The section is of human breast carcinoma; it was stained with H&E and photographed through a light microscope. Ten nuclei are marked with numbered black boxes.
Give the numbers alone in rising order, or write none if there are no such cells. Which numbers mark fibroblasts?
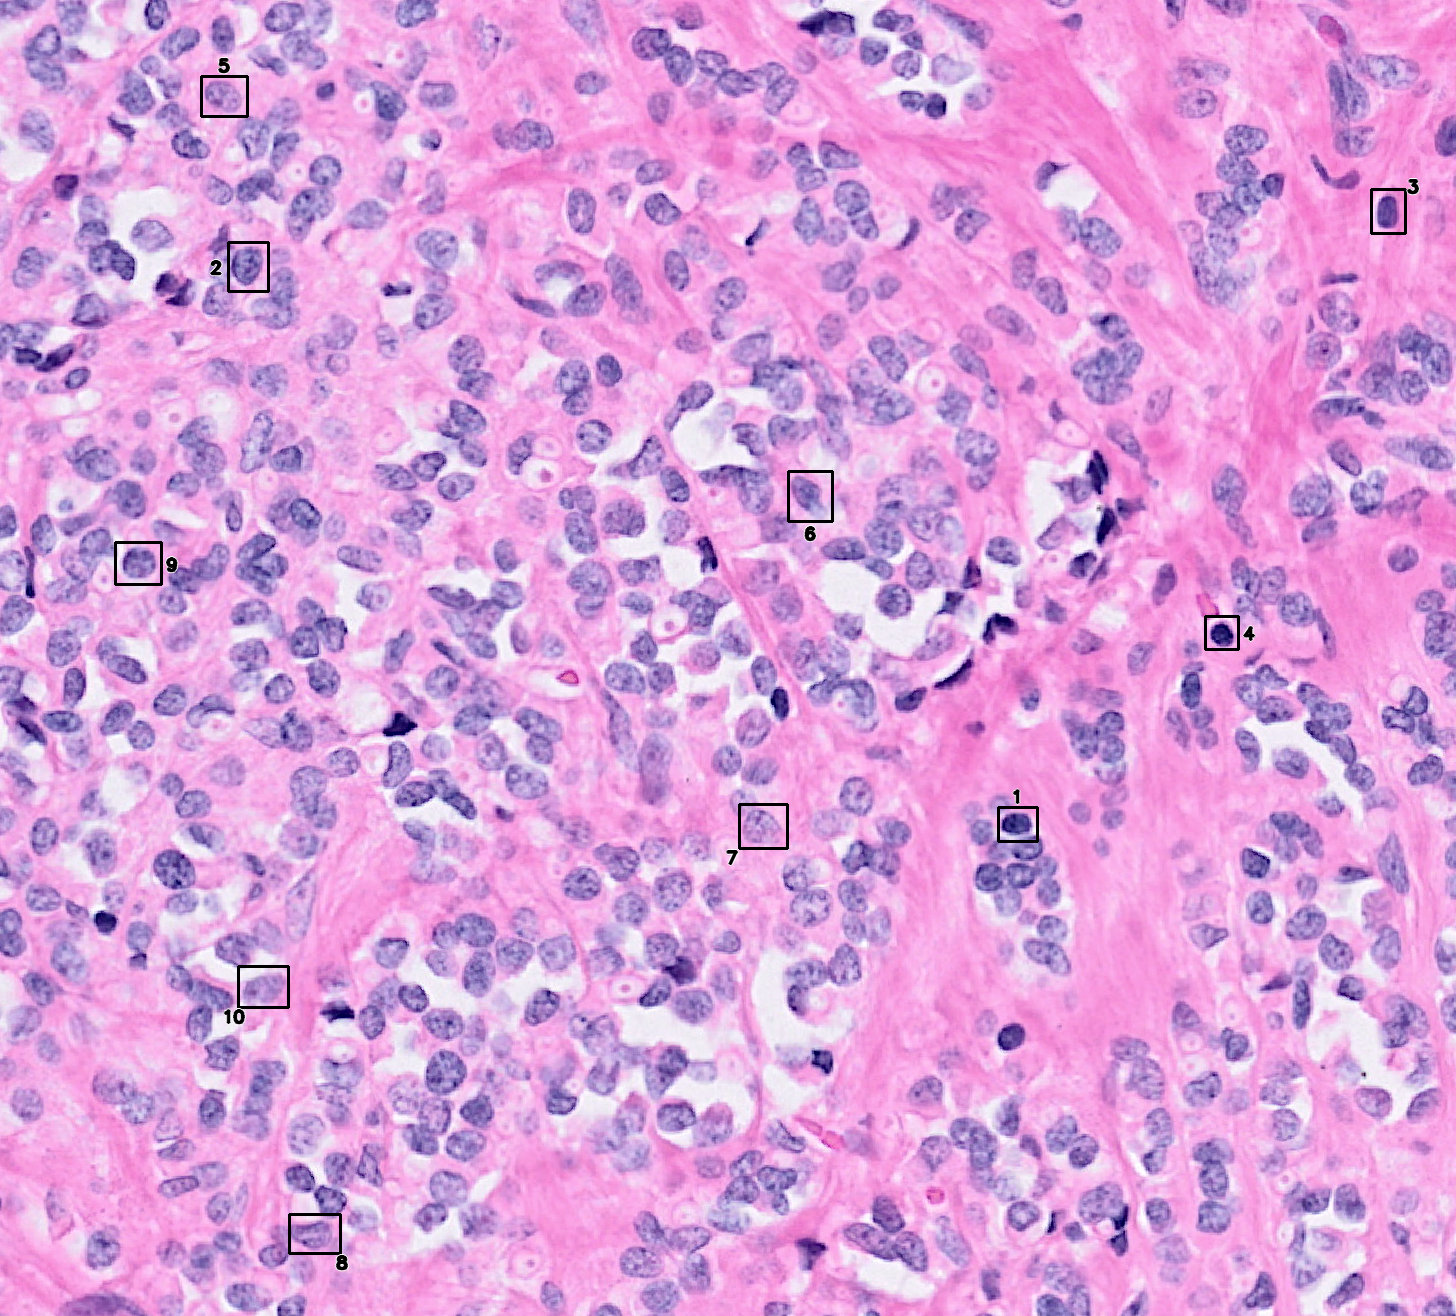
none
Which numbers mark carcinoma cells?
2, 5, 7, 8, 9, 10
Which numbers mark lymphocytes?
1, 3, 4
